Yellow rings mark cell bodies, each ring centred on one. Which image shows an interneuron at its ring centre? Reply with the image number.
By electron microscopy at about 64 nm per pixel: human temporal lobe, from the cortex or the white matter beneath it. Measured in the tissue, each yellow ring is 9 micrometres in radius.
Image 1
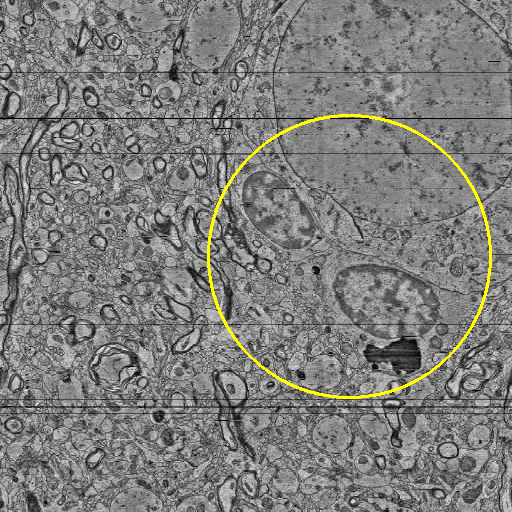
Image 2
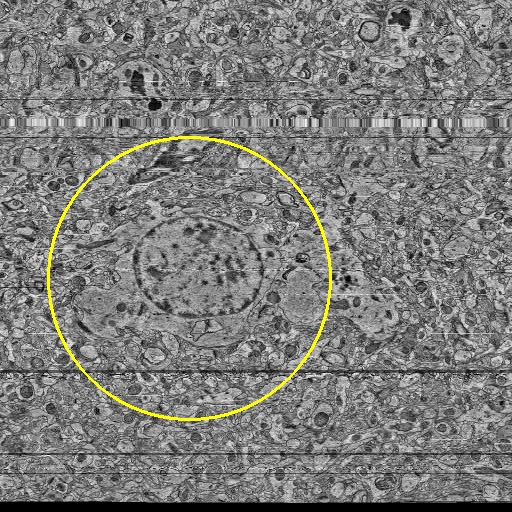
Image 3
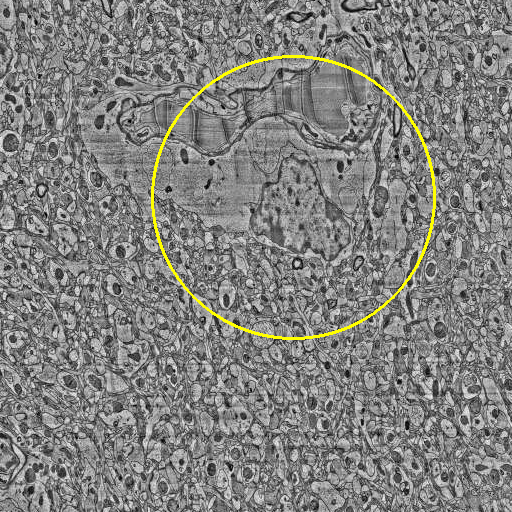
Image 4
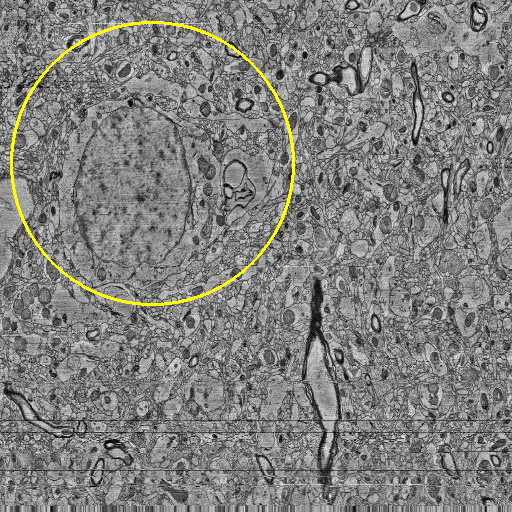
4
